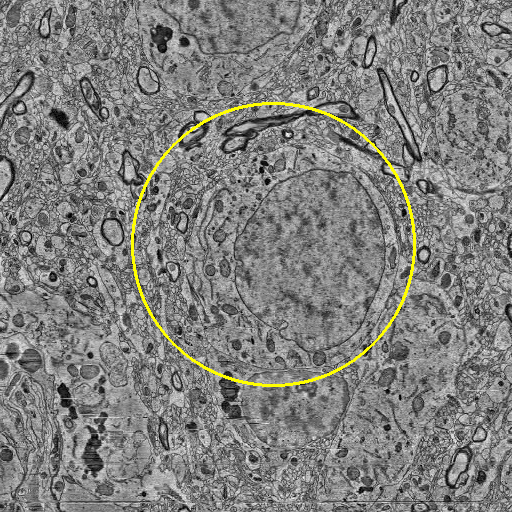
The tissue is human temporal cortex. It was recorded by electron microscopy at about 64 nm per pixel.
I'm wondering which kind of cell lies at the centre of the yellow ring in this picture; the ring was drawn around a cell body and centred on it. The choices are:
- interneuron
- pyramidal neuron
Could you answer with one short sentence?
At the centre of the ring lies a pyramidal neuron.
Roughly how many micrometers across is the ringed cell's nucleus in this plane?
The nucleus of the ringed cell is approximately 12 by 10 micrometres in this plane.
